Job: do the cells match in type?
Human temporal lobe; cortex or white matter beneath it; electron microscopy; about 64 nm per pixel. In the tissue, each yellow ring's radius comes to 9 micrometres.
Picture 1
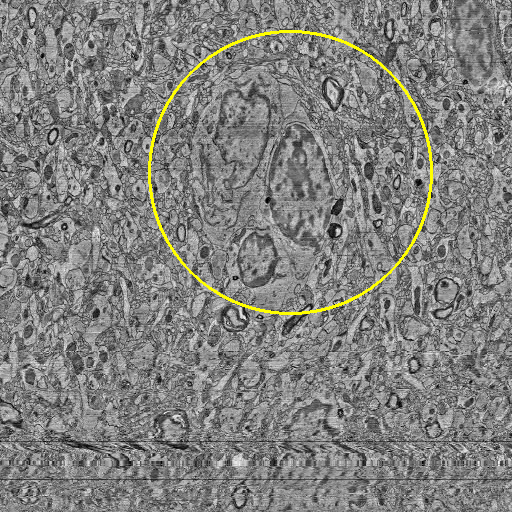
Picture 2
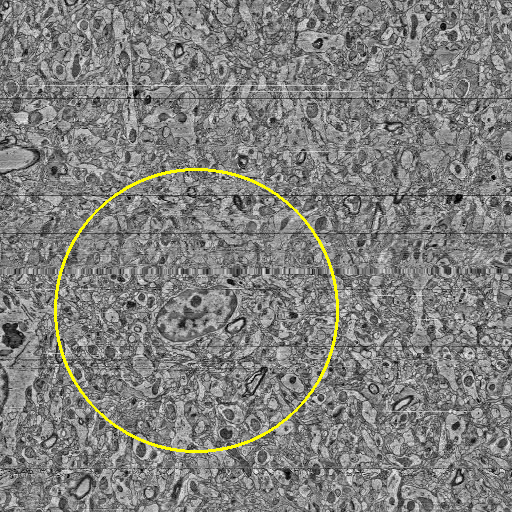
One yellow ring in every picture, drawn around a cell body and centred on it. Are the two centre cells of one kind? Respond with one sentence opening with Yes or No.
Yes, the ringed cells in the two pictures are of one and the same kind.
